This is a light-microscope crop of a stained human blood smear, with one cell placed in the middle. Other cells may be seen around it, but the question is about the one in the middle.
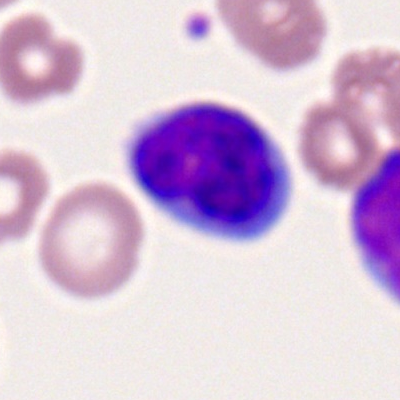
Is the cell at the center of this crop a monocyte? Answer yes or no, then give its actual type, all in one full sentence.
No, the centre of the crop contains a lymphocyte rather than a monocyte.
